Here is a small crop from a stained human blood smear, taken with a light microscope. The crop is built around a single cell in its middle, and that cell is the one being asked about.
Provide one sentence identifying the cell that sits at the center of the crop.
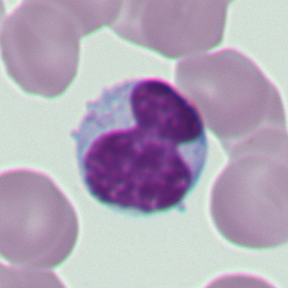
In the centre of this crop there is a typical lymphocyte.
